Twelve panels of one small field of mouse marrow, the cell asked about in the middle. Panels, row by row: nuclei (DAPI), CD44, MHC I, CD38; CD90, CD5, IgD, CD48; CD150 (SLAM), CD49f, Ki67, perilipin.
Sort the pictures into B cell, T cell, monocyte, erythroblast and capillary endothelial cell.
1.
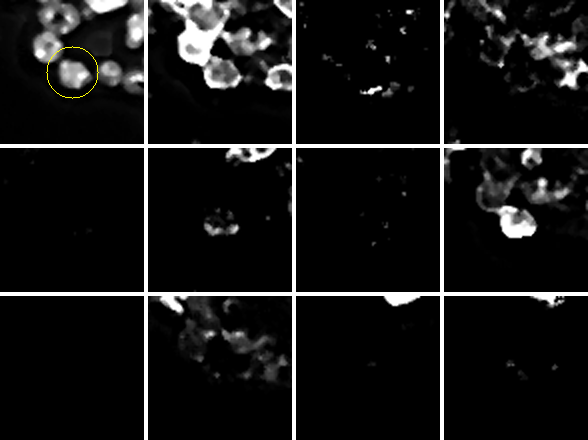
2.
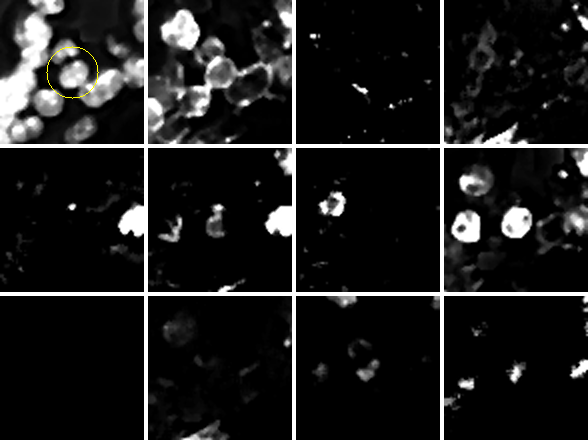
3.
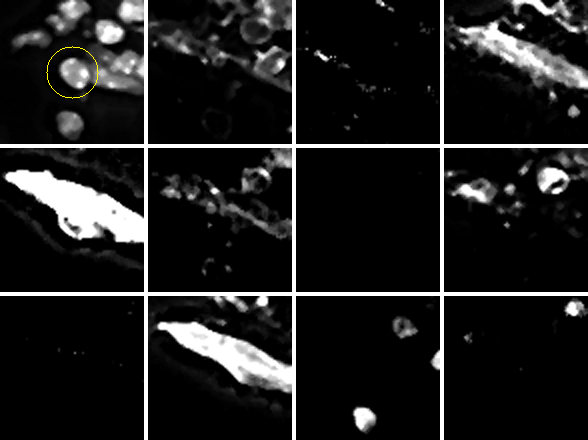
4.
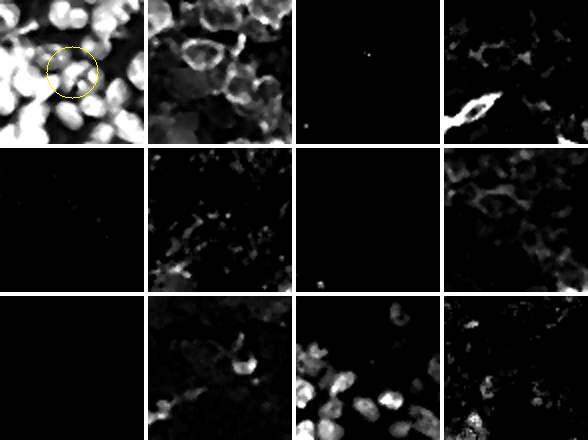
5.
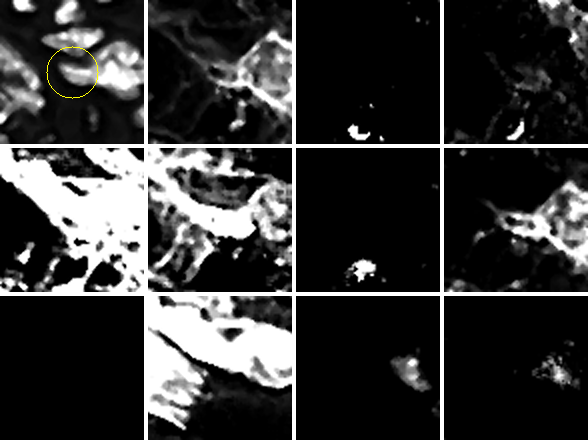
Monocytes: 1, 2
Capillary endothelial cells: 3
Erythroblasts: 4
T cells: 5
